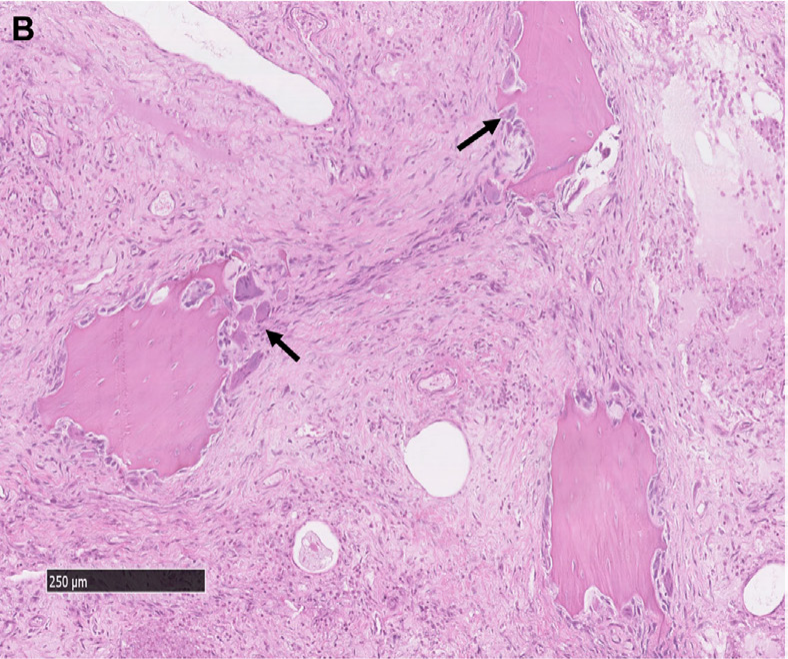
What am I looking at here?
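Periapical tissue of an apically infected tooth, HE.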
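Several separate pink, dense bone fragments lie embedded in a cellular fibrous stroma. Their edges are irregular and scalloped, with small concave bays cut into the surface. In some of these bays sit large cells with abundant pink cytoplasm and several nuclei each, hugging the bone. Between the fragments, the stroma is crowded with spindle-shaped cells with elongated nuclei set in pale collagen fibres, with scattered small blood vessels and a few clear spaces. This is fibrous stroma with entrapped islands of alveolar bone being resorbed by osteoclasts lying in Howship's lacunae, with fibroplasia of the intervening tissue.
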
